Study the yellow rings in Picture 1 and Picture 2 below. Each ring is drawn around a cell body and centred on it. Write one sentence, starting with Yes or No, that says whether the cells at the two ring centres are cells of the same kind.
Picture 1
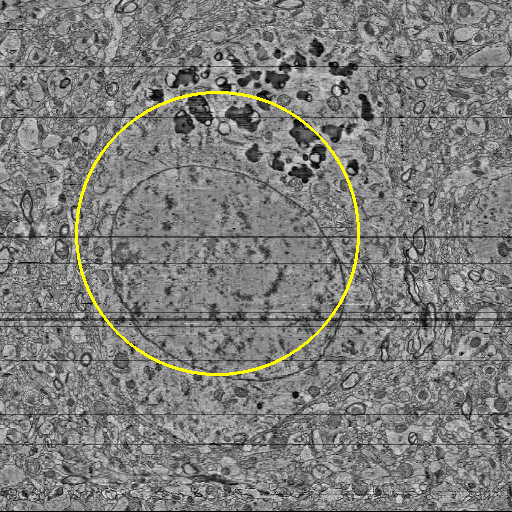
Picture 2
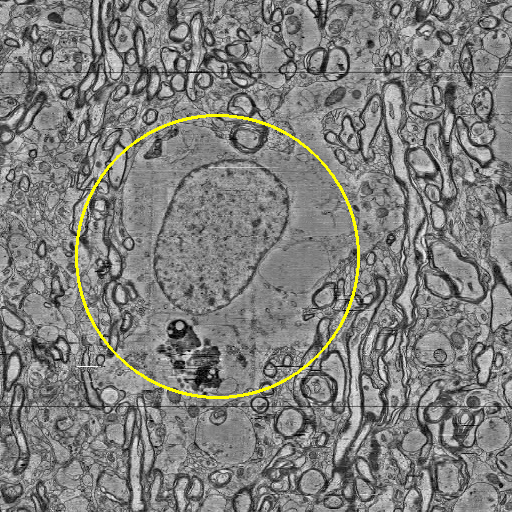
No, the cells at the ring centres are of two kinds.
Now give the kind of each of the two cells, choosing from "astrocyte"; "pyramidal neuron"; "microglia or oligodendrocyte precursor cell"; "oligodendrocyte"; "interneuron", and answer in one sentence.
The cell in the first picture is a pyramidal neuron, and the cell in the second is an astrocyte.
